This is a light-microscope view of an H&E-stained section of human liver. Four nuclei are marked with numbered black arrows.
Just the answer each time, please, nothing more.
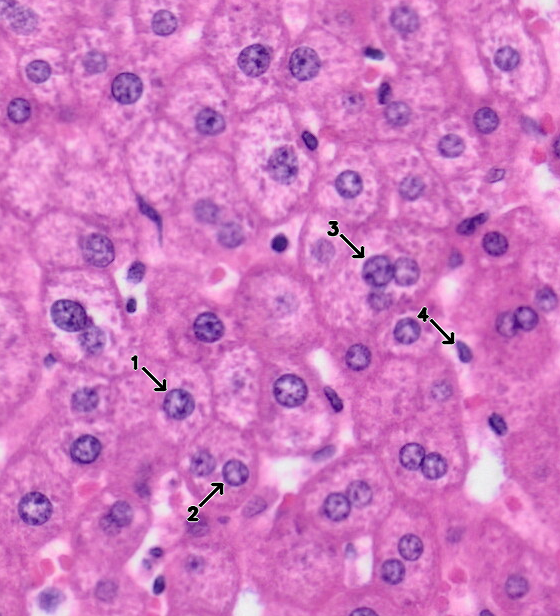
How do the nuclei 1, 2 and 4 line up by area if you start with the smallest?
4, 2, 1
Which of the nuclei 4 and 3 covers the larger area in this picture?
3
